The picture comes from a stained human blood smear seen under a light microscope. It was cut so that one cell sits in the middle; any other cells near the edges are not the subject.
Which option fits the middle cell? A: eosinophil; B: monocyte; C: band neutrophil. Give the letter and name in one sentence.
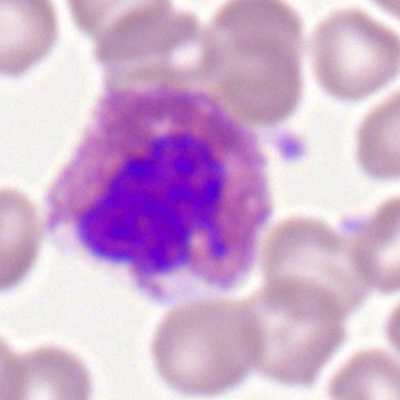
The cell positioned centrally is an eosinophil, as given in option A, which is correct.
